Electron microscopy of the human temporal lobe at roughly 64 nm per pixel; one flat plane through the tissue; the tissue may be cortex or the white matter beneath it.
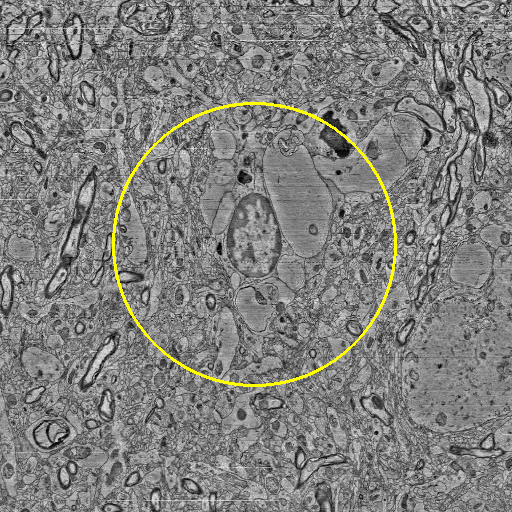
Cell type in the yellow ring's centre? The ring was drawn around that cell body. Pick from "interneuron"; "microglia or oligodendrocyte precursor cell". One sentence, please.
The ringed cell body is that of a microglial cell or oligodendrocyte precursor cell.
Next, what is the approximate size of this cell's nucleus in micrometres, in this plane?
The nucleus measures about 5 by 3 micrometres, so it is clearly longer than it is wide in this plane.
